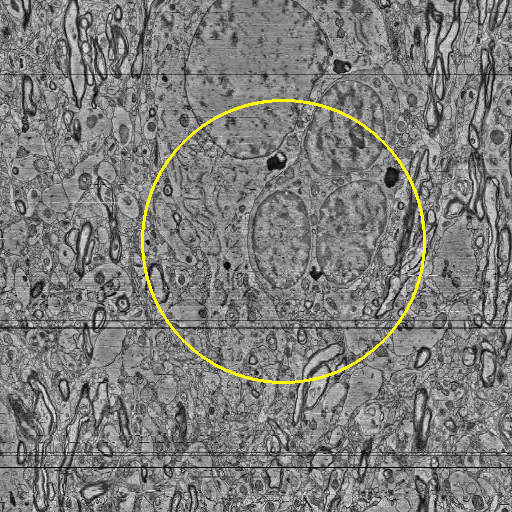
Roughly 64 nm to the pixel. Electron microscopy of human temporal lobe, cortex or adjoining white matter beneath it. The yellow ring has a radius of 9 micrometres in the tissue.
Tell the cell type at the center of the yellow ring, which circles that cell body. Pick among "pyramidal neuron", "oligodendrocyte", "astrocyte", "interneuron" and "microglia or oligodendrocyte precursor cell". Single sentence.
The ring is centered on the body of an oligodendrocyte.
